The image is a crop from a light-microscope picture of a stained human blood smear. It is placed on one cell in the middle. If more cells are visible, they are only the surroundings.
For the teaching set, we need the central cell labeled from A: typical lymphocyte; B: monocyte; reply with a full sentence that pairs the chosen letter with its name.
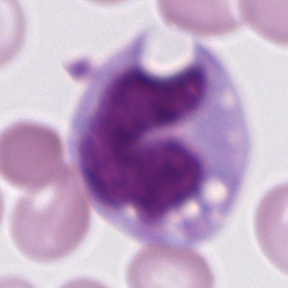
The central cell of the crop is a monocyte, which makes B the correct option.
